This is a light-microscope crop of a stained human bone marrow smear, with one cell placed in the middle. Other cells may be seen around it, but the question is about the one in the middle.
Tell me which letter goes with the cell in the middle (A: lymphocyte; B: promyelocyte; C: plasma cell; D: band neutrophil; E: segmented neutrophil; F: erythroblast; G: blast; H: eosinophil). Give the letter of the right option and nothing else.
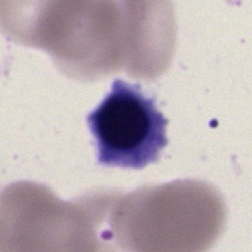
F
